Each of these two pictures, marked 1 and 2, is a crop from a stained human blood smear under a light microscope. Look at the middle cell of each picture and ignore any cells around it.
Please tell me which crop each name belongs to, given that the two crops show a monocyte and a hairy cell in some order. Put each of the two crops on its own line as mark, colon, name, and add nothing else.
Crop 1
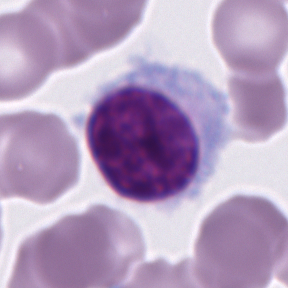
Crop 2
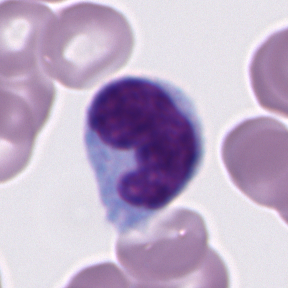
1: hairy cell
2: monocyte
